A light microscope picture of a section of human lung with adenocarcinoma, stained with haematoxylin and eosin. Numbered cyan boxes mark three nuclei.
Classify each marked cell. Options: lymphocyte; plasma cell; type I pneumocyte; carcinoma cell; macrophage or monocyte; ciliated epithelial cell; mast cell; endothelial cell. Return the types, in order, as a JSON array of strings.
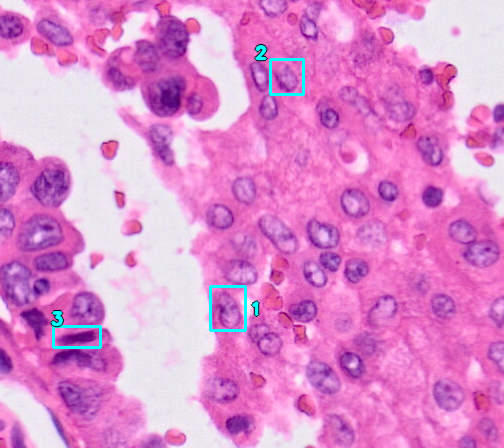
["macrophage or monocyte", "macrophage or monocyte", "carcinoma cell"]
